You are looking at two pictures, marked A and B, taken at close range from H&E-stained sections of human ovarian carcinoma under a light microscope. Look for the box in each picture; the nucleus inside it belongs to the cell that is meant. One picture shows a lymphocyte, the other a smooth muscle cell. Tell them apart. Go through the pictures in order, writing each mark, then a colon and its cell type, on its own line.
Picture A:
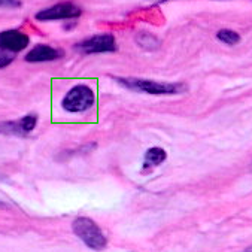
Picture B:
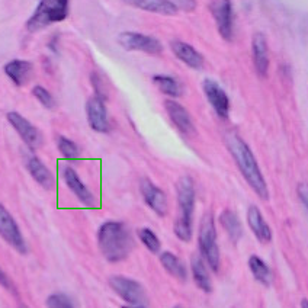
A: lymphocyte
B: smooth muscle cell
